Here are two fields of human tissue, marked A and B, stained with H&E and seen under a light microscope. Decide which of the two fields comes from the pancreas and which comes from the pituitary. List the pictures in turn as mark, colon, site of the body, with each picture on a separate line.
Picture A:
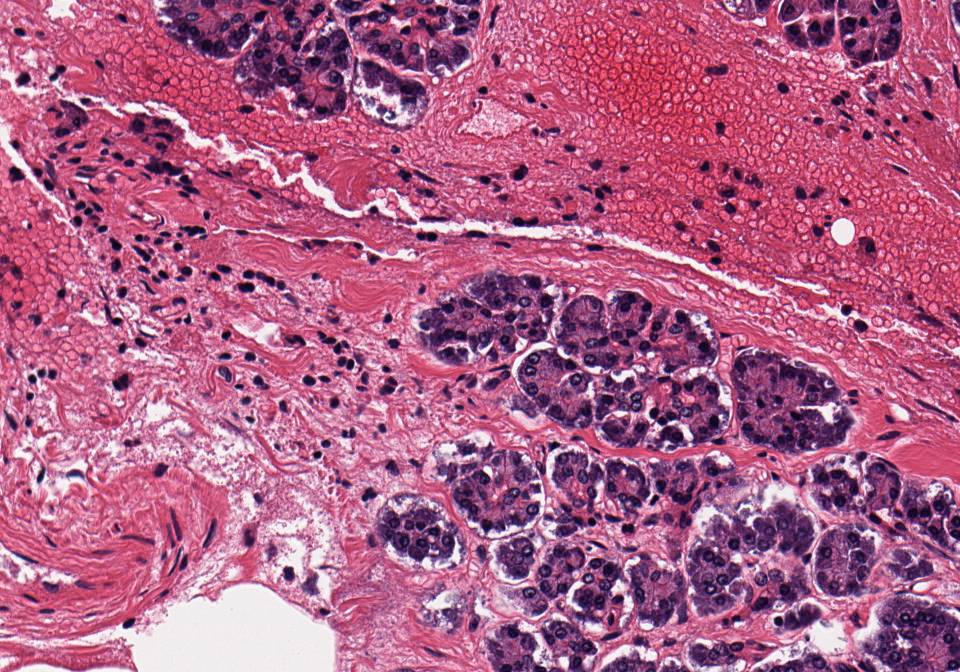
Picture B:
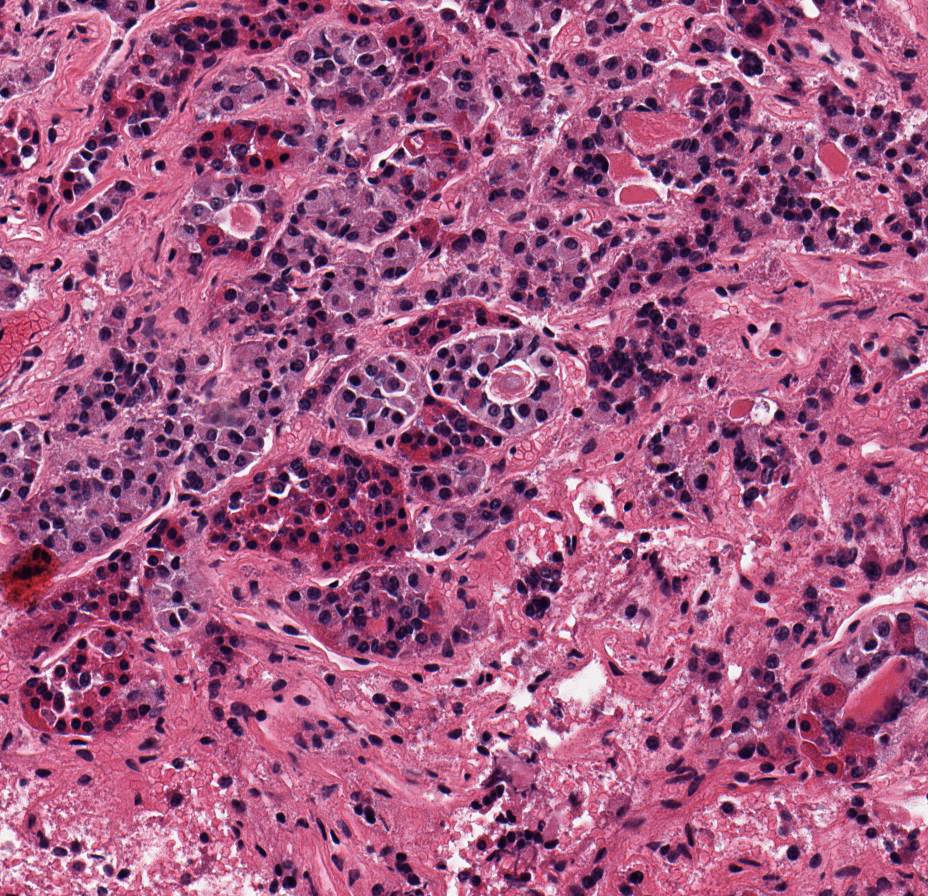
A: pancreas
B: pituitary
